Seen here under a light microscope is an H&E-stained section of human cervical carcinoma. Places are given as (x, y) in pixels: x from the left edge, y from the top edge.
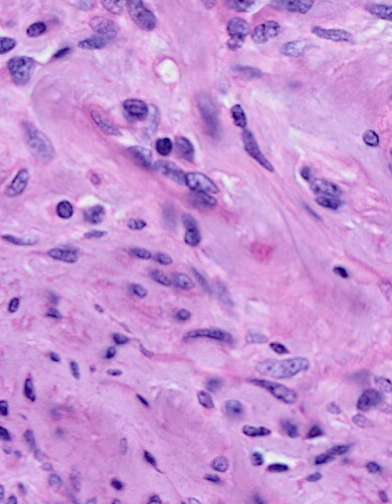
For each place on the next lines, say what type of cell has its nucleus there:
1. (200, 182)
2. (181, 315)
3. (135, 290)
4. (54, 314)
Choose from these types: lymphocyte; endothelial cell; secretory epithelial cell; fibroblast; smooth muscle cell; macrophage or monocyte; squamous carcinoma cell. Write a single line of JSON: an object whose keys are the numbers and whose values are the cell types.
{"1": "endothelial cell", "2": "smooth muscle cell", "3": "smooth muscle cell", "4": "smooth muscle cell"}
